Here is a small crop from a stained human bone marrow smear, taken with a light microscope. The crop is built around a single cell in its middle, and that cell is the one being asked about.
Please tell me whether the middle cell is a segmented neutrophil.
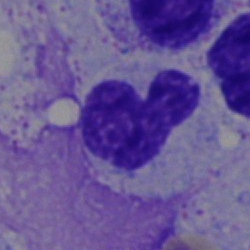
no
